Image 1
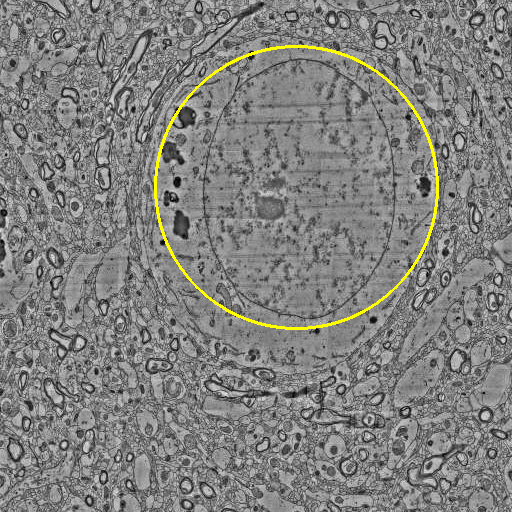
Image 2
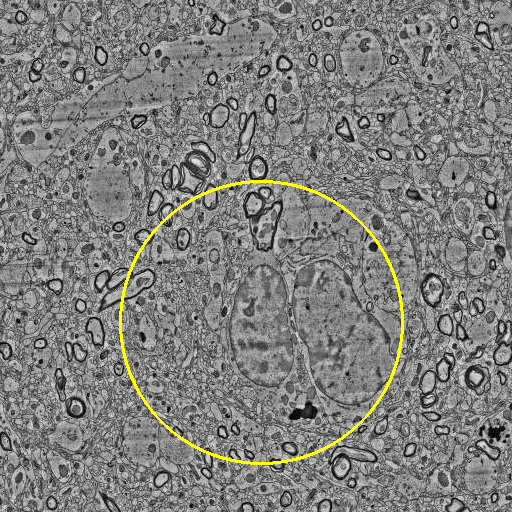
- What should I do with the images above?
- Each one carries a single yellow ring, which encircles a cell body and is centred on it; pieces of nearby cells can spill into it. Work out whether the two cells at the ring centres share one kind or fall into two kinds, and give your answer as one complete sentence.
The ring-centre cells of Image 1 and Image 2 fall into two kinds.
